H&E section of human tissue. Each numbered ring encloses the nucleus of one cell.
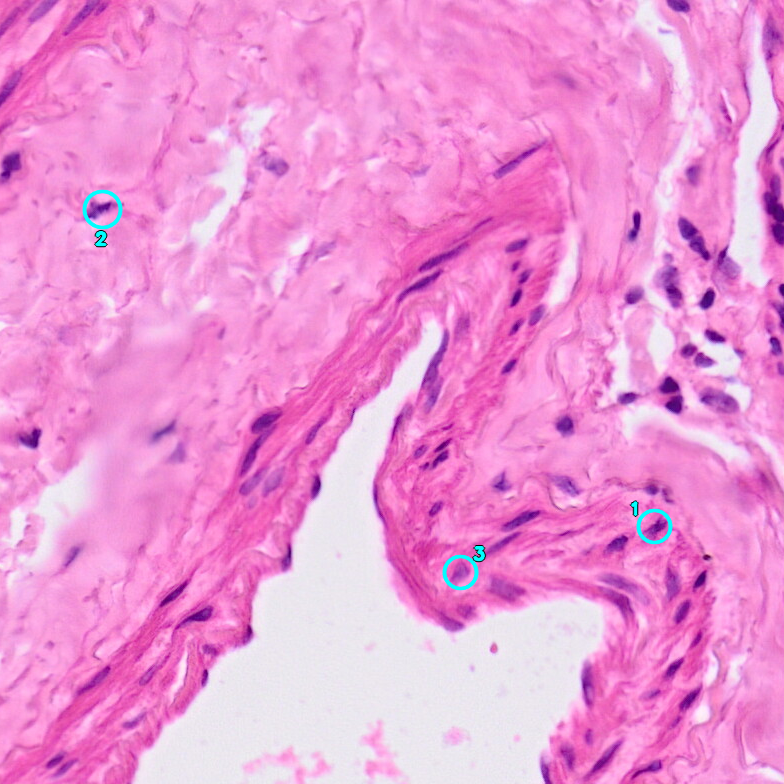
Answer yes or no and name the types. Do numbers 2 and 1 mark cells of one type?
No, rather, cell 2 is a fibroblast and cell 1 is a smooth muscle cell or pericyte.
